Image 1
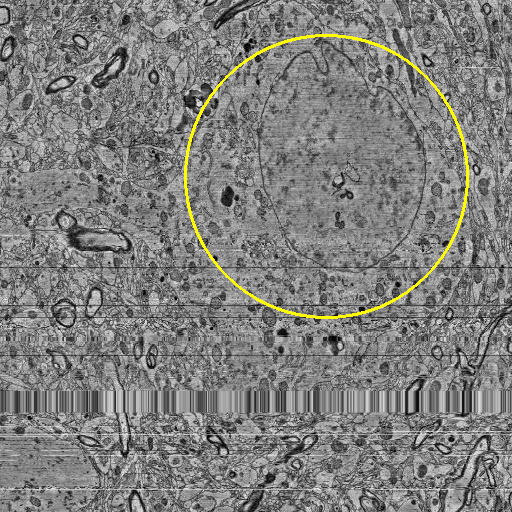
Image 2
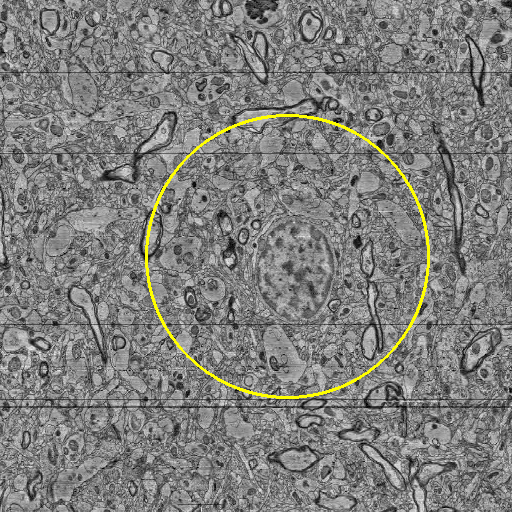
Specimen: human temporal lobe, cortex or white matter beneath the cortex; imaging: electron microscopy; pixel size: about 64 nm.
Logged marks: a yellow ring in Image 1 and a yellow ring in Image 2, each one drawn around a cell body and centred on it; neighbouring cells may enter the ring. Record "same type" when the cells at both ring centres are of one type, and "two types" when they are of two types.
two types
